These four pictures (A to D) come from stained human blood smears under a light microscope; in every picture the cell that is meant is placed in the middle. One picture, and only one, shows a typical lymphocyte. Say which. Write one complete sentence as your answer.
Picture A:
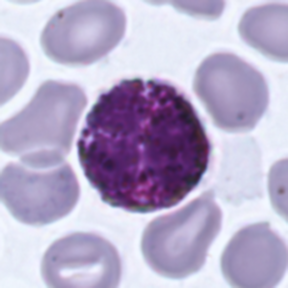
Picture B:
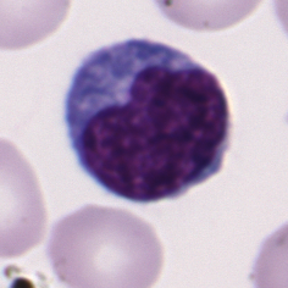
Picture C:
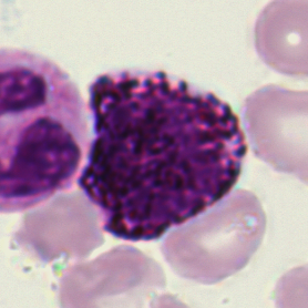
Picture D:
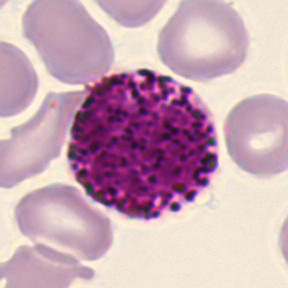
Picture B shows the typical lymphocyte.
